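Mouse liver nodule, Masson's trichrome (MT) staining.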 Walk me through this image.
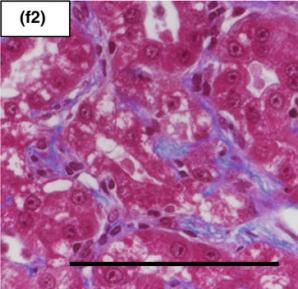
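Tumour hepatocytes with red-purple cytoplasm and round nuclei with prominent nucleoli are arranged in irregular groups and trabeculae. Clear gaps and lumen-like spaces lie among the cell groups, giving a disordered architecture.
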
